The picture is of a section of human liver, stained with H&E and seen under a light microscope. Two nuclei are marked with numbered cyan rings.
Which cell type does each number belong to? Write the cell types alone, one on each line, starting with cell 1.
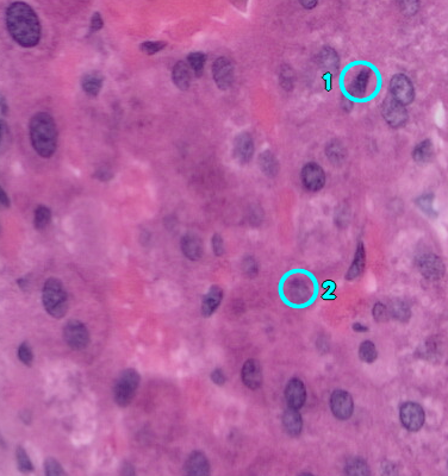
fibroblast or stellate cell
hepatocyte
